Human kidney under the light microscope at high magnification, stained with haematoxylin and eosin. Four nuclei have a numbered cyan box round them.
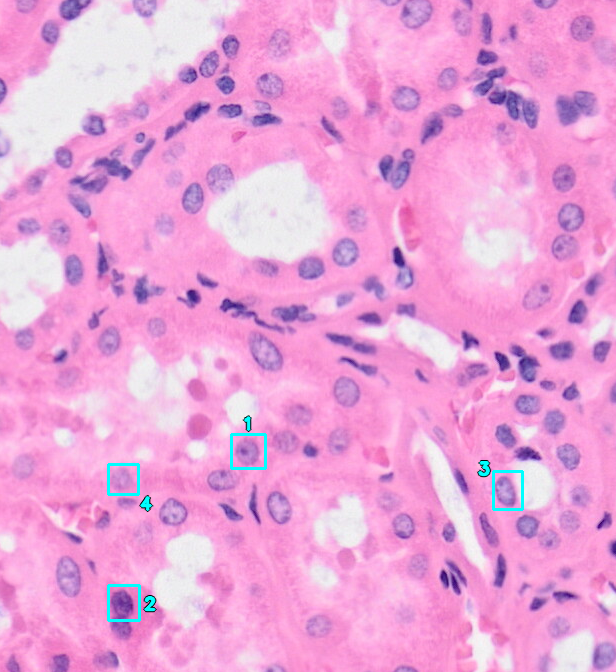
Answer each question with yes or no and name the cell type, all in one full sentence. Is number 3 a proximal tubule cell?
No, the cell bearing number 3 is not a proximal tubule cell but a loop of Henle or distal tubule cell.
